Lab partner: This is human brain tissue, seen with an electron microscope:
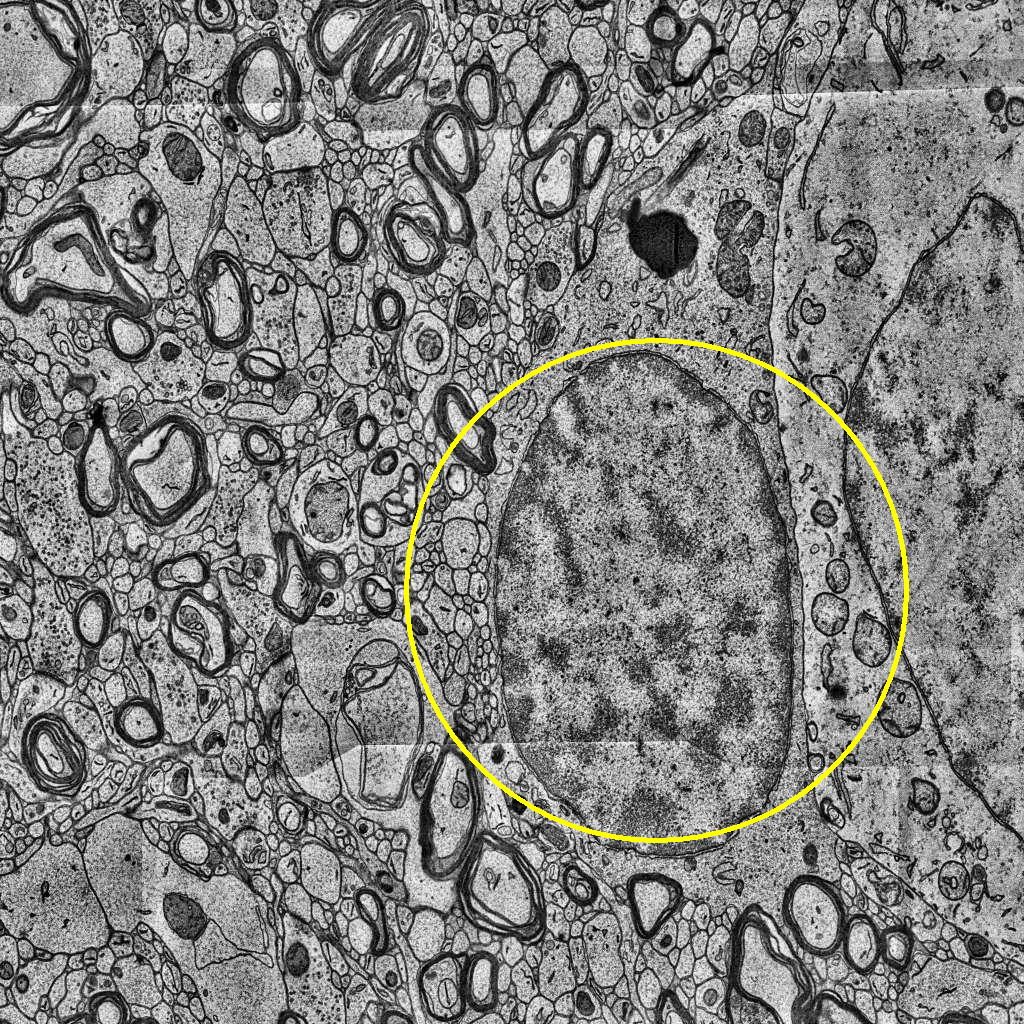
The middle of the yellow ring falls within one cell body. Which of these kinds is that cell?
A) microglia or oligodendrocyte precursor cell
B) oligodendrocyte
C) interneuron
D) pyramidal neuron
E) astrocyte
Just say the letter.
B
